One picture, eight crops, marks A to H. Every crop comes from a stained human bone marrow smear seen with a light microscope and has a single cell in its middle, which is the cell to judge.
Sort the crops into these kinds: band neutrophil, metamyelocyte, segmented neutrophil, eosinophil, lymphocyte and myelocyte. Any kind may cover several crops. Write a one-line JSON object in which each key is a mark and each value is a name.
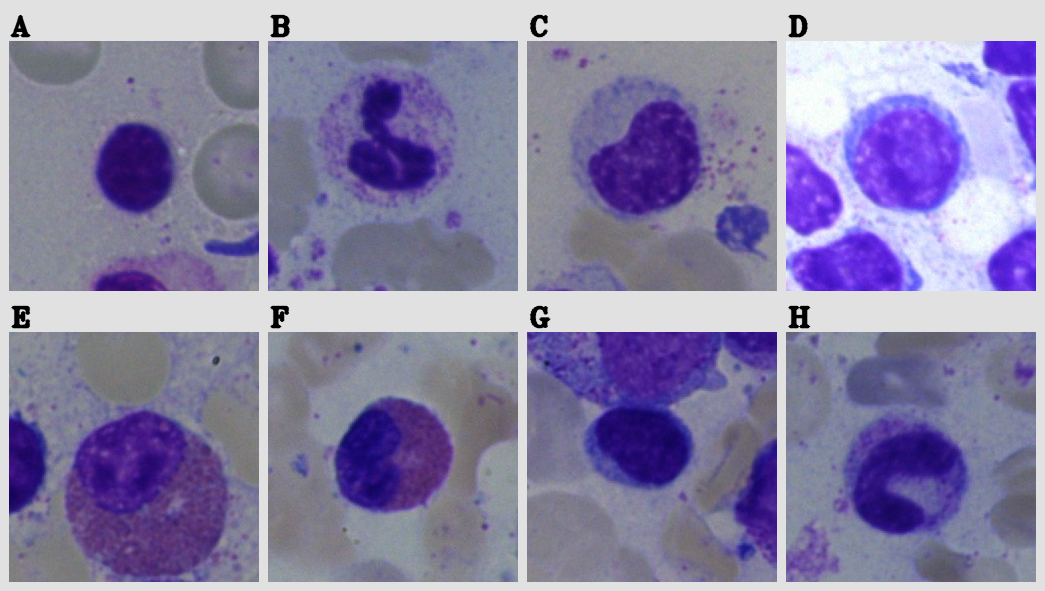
{"A": "lymphocyte", "B": "segmented neutrophil", "C": "band neutrophil", "D": "lymphocyte", "E": "eosinophil", "F": "eosinophil", "G": "lymphocyte", "H": "band neutrophil"}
